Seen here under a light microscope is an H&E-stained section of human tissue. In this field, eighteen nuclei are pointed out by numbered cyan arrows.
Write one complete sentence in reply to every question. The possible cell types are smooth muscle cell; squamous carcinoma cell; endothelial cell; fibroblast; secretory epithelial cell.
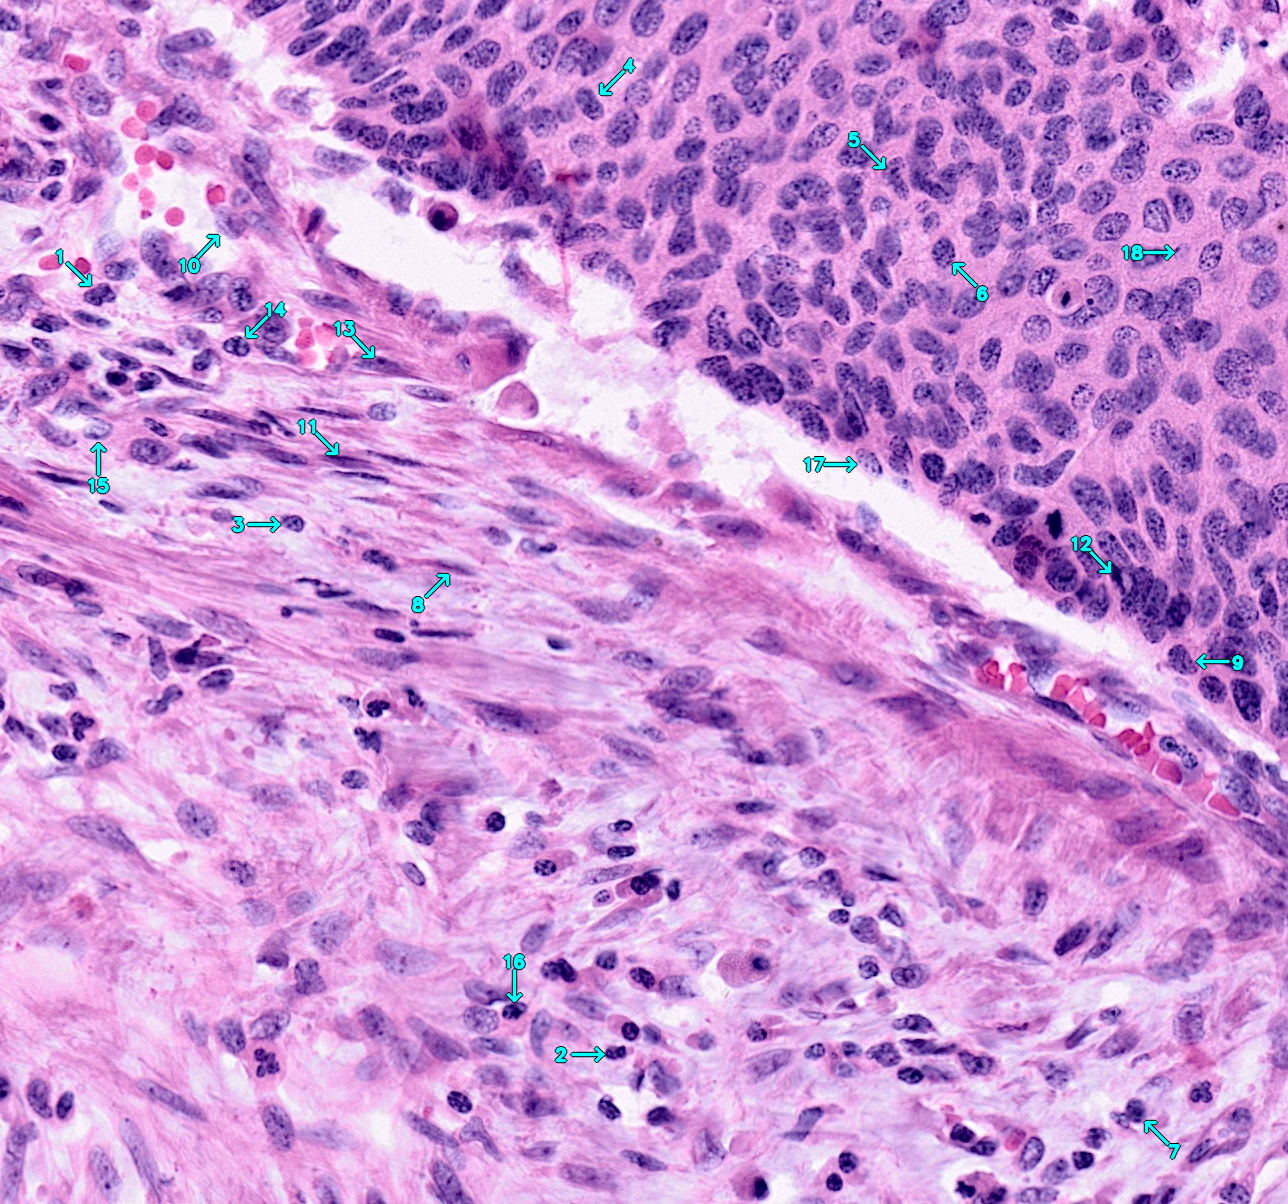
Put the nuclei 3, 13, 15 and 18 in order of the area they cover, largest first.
Largest first, the order by area is 13, 15, 3, 18.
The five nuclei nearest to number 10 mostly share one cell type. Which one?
Of the five nuclei nearest to number 10, most belong to fibroblasts.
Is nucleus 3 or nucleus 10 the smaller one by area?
Nucleus 3 covers less area, with nucleus 10 about 2 times as large.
